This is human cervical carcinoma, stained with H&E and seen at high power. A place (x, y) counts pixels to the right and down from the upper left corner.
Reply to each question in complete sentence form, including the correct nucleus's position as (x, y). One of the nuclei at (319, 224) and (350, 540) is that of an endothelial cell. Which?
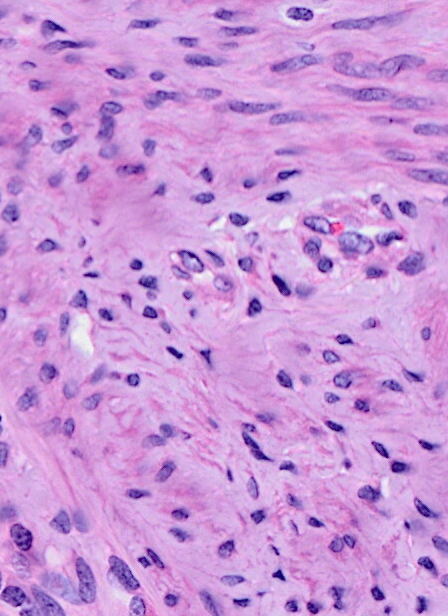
Of the two nuclei, the one sitting at (319, 224) belongs to an endothelial cell.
